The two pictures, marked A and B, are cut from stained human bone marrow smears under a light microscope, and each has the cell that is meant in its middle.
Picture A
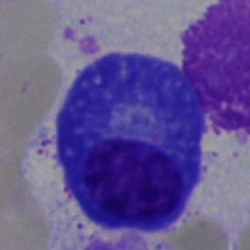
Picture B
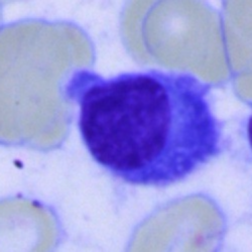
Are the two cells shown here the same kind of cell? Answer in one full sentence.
Yes, both cells are plasma cells.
